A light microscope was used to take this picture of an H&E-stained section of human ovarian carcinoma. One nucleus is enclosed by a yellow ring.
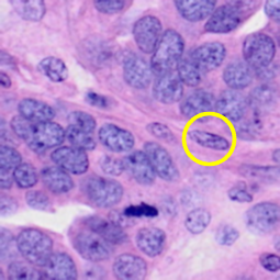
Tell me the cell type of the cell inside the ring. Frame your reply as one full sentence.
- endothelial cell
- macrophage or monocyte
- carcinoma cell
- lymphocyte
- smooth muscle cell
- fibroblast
The cell type of the cell inside the ring is that of a macrophage or monocyte.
